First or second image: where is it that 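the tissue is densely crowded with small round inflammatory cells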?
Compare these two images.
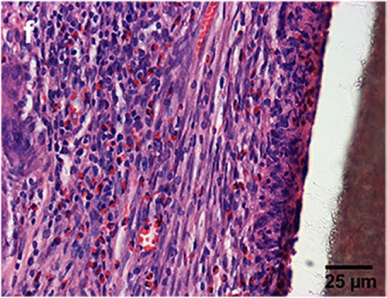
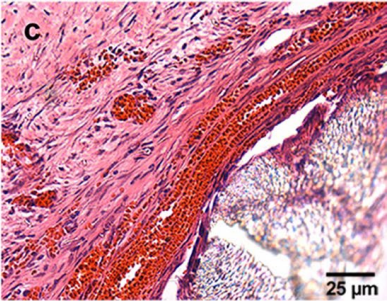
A: The first image.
